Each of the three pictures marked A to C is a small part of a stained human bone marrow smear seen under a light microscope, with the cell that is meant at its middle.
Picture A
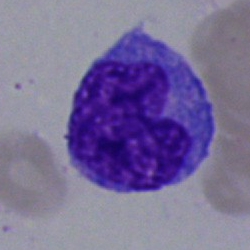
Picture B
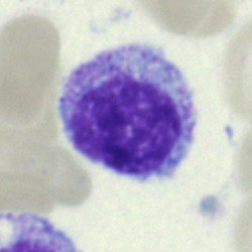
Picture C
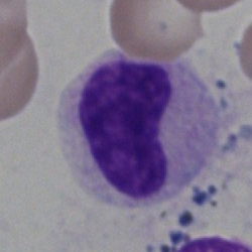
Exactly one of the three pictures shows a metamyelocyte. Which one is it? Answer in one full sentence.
The picture with the metamyelocyte is C.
